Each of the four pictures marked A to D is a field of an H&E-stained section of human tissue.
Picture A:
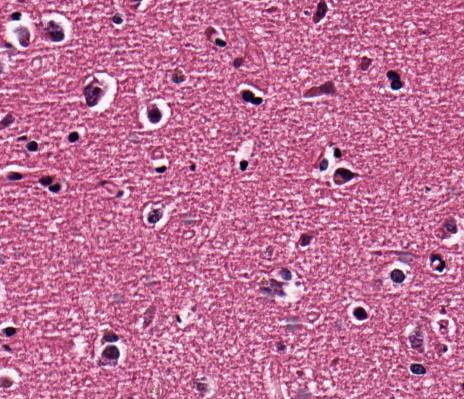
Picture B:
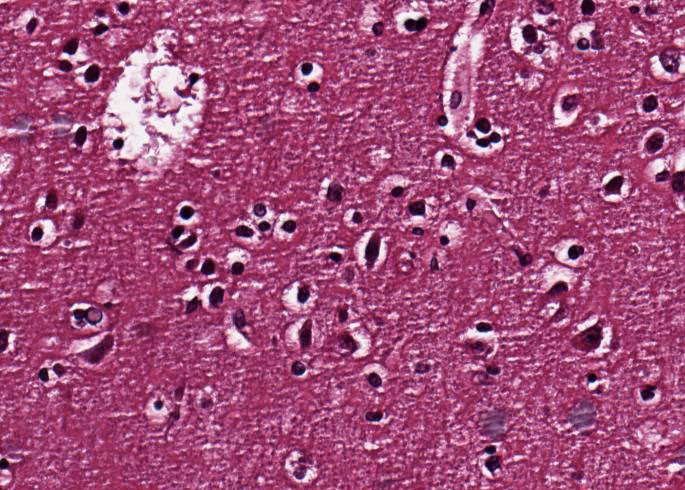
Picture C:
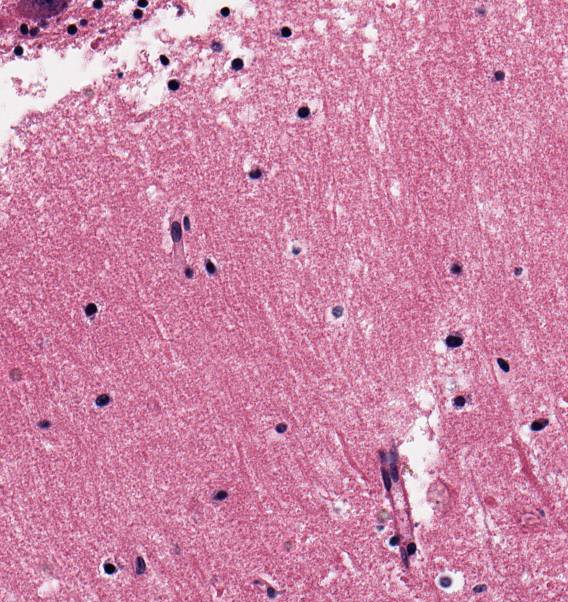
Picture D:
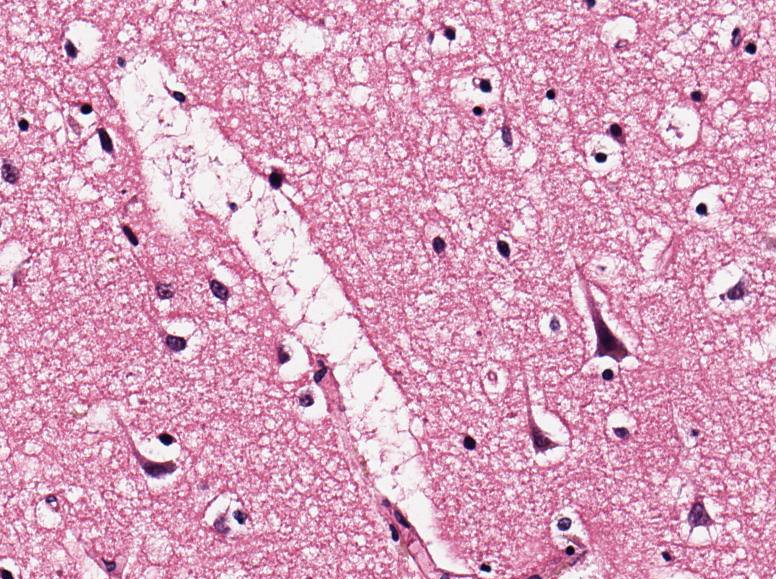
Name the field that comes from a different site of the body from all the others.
C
